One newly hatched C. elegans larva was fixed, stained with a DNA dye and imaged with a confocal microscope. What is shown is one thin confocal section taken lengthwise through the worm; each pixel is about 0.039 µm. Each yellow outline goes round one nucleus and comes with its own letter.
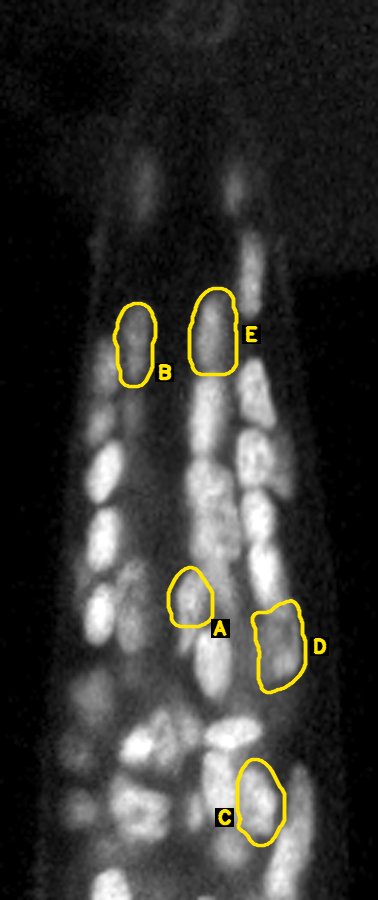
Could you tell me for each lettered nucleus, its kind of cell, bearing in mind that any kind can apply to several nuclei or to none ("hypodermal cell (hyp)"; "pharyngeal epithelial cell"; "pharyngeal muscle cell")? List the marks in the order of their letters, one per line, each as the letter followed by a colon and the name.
A: pharyngeal muscle cell
B: pharyngeal epithelial cell
C: pharyngeal muscle cell
D: hypodermal cell (hyp)
E: pharyngeal epithelial cell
